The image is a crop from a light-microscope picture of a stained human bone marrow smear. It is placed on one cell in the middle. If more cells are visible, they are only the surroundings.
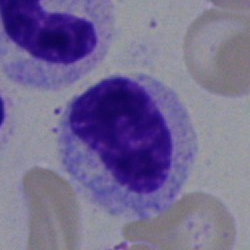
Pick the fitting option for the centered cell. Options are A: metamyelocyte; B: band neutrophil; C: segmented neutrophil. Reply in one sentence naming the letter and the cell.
The cell occupying the centre is a metamyelocyte; option A is thus the correct choice.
